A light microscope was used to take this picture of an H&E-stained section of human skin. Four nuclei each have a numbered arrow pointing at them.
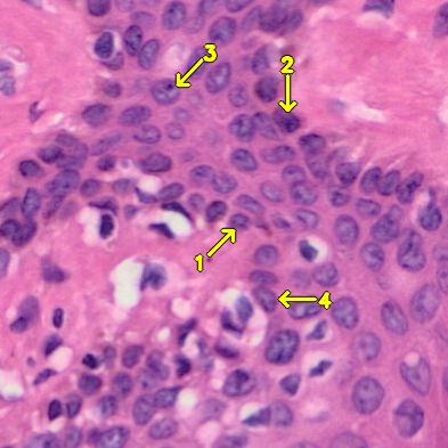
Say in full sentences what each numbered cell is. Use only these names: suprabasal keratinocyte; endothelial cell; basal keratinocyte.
Cells 1, 2 and 4 are basal keratinocytes. Cell 3 is a suprabasal keratinocyte.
